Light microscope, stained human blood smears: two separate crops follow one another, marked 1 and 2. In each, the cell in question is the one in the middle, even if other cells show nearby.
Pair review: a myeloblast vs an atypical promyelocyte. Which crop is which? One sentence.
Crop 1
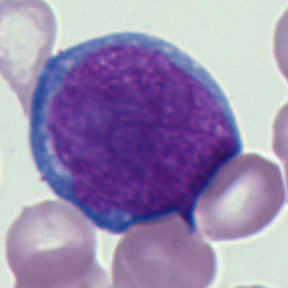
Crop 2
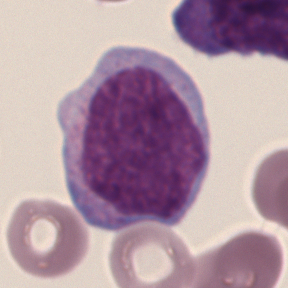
It is a myeloblast that crop 1 shows, and an atypical promyelocyte that crop 2 shows.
